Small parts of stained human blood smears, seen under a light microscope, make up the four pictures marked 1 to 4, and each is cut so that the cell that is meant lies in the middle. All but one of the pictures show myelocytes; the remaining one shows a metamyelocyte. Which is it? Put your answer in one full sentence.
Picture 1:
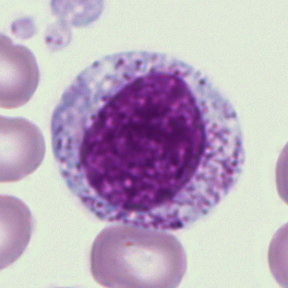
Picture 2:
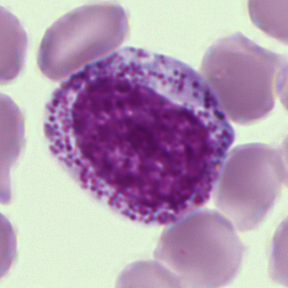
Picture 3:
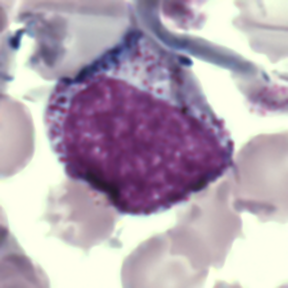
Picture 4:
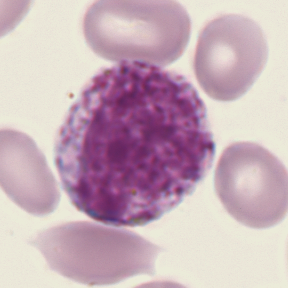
It is picture 4 that shows the metamyelocyte.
